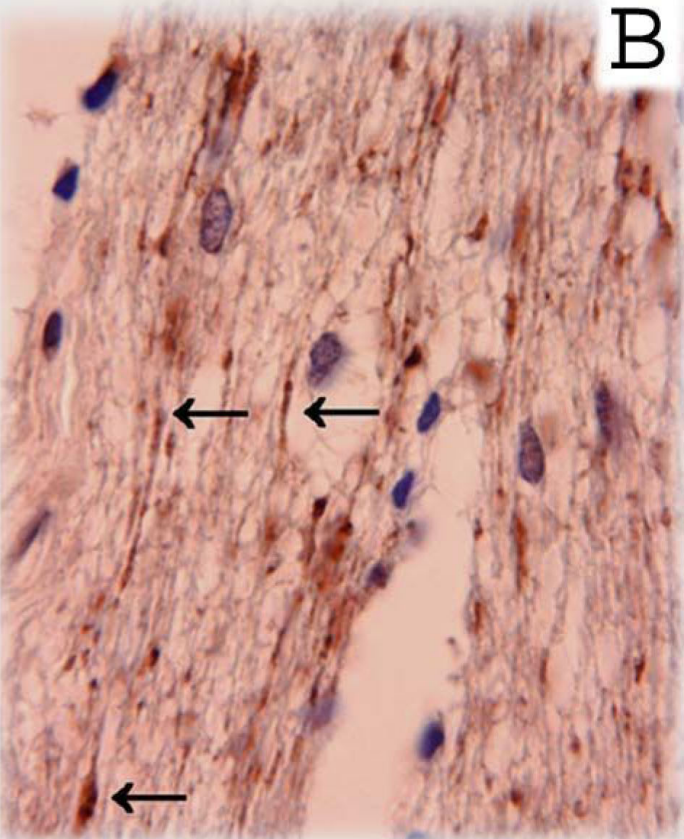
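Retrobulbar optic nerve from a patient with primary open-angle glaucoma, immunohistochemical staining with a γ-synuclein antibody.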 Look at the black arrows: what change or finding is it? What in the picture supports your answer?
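Swollen axons and axons fragment. The arrows point at brown, thickened, beaded segments along the longitudinal fibres. One arrow at the lower left marks a short, dense brown ovoid piece separate from a continuous fibre. Other fibres in the field are thinner and more evenly stained.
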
